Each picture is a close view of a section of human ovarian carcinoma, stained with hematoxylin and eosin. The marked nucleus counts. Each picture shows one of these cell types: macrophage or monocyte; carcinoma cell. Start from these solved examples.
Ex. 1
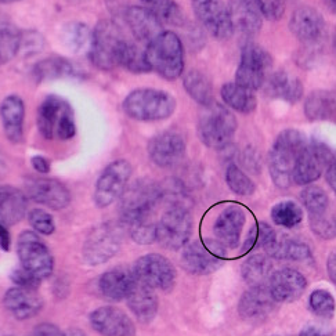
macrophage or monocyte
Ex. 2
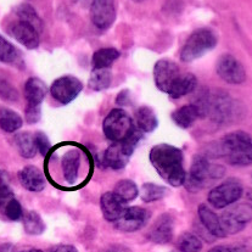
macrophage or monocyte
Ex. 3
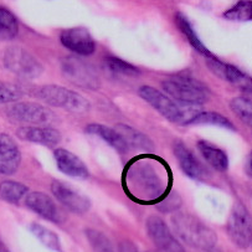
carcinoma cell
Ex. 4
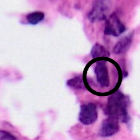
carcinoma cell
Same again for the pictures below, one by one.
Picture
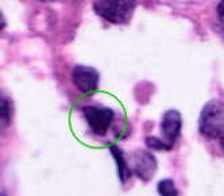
carcinoma cell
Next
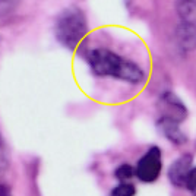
macrophage or monocyte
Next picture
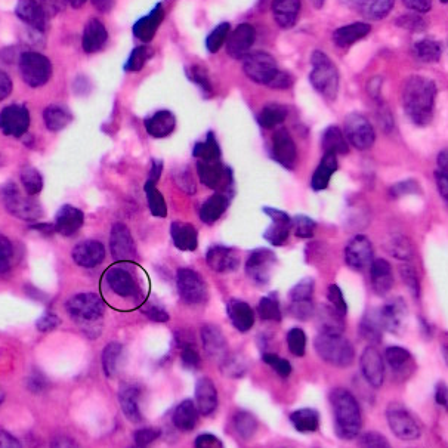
carcinoma cell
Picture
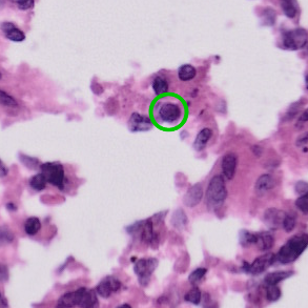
macrophage or monocyte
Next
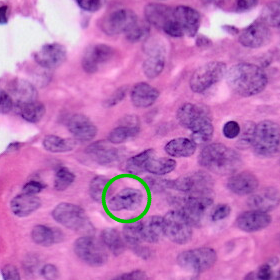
macrophage or monocyte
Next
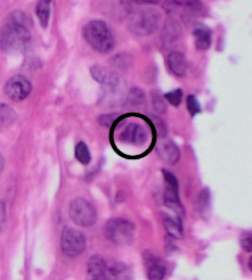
carcinoma cell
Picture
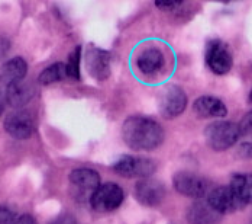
macrophage or monocyte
